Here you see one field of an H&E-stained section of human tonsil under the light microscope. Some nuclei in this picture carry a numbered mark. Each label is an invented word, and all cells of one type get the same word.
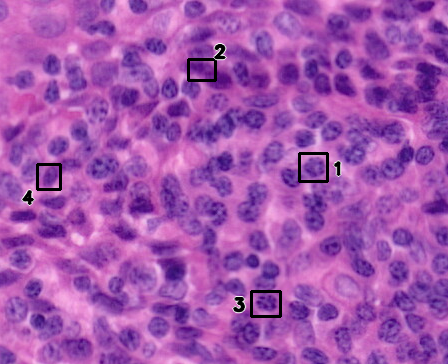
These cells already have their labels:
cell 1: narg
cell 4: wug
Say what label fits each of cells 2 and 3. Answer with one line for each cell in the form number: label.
2: wug
3: narg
